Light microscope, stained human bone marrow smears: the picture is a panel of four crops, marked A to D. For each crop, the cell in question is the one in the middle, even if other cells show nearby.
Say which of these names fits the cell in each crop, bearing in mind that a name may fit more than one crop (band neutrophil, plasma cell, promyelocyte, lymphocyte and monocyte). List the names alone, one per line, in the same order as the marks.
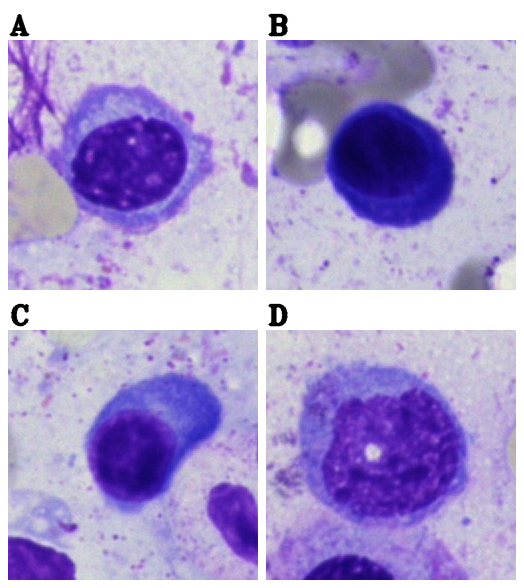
plasma cell
plasma cell
plasma cell
monocyte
